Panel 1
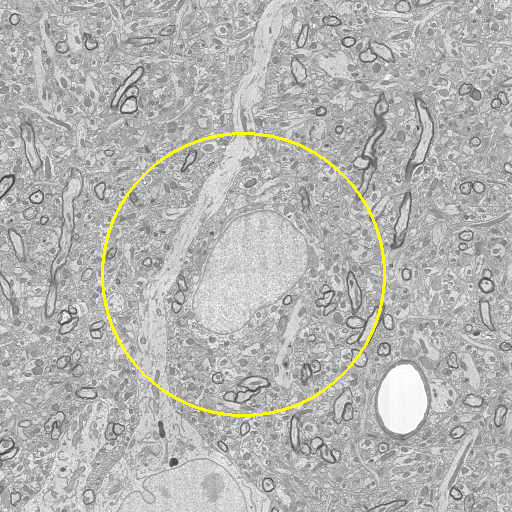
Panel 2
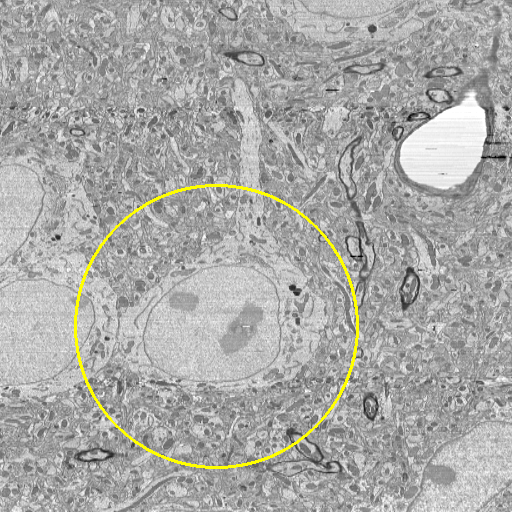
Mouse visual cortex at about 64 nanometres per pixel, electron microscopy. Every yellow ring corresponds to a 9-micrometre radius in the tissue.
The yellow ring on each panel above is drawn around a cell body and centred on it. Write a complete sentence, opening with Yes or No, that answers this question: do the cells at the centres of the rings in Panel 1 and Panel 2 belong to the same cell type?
No, the two cells belong to two cell types.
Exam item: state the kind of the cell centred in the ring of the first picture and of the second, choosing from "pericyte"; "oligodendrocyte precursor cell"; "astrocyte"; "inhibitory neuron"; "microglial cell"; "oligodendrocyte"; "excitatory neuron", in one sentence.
The first picture shows an astrocyte at the ring centre and the second shows an excitatory neuron.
